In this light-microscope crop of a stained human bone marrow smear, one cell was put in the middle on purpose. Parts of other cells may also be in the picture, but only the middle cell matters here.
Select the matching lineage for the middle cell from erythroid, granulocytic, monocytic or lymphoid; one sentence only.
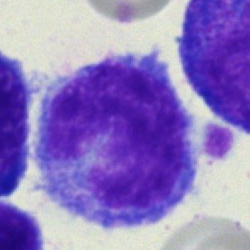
The cell at the crop's center sits within the monocytic lineage.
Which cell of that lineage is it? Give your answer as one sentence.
By classification, the middle cell of this crop is a monocyte.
